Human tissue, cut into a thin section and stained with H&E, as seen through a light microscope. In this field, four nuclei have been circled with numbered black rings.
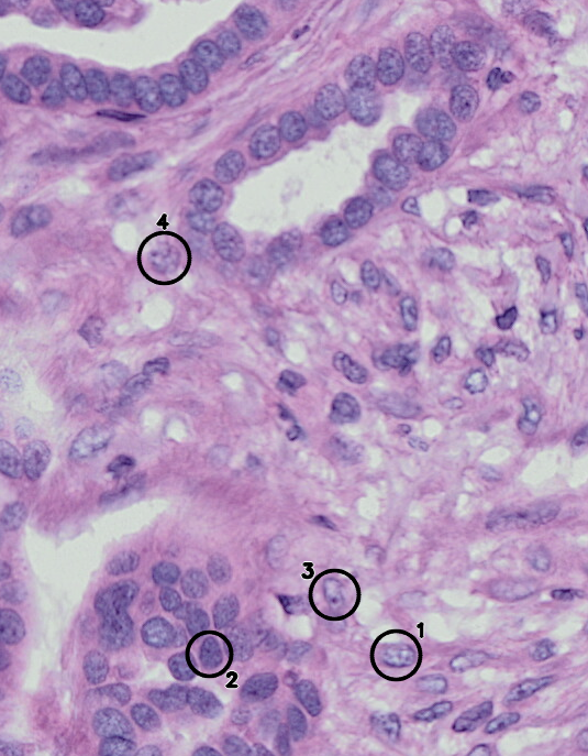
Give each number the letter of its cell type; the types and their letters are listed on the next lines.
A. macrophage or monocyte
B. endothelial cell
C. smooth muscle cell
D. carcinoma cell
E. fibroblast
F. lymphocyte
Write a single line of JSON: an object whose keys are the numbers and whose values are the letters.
{"1": "E", "2": "D", "3": "E", "4": "E"}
